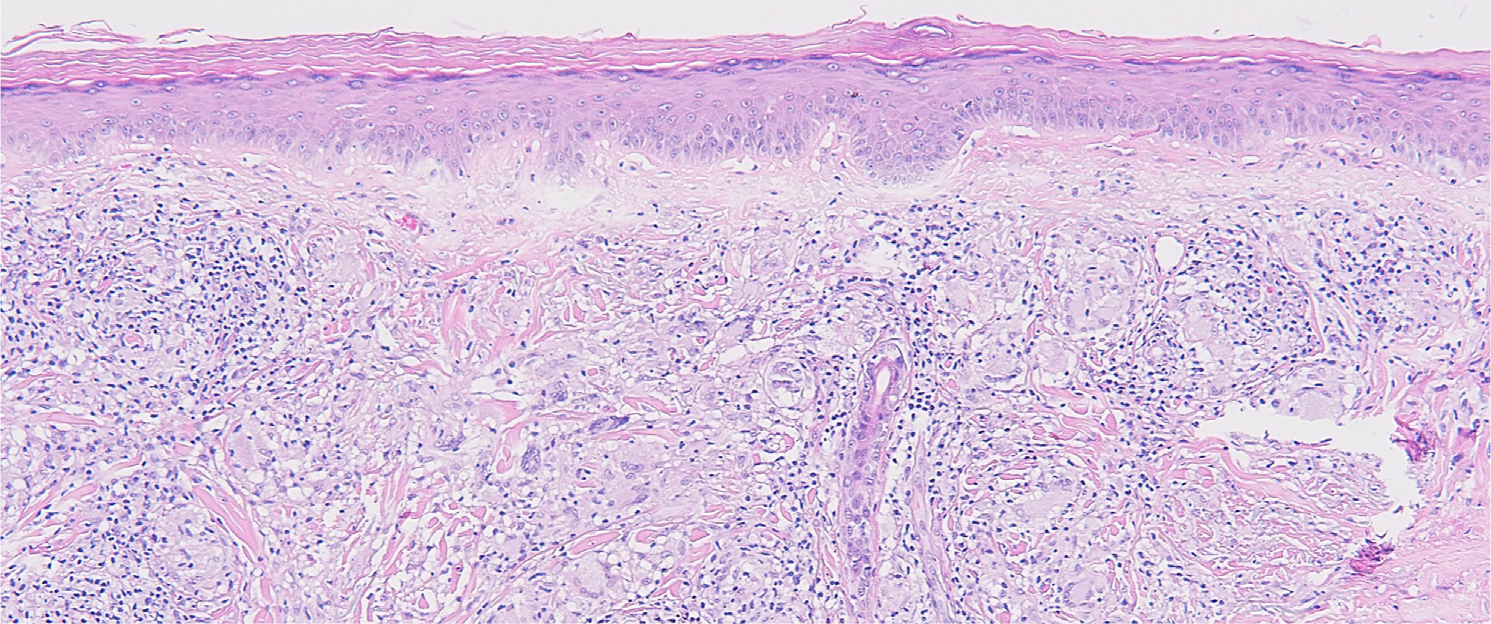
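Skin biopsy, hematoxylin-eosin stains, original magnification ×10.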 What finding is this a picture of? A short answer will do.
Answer: interstitial and nodular infiltrates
